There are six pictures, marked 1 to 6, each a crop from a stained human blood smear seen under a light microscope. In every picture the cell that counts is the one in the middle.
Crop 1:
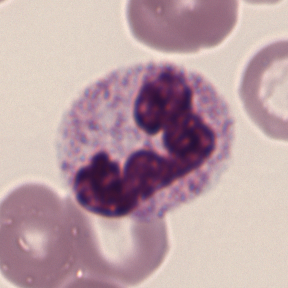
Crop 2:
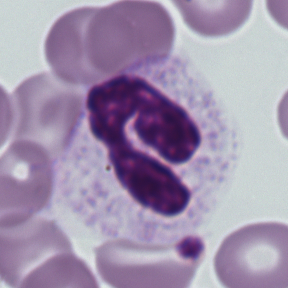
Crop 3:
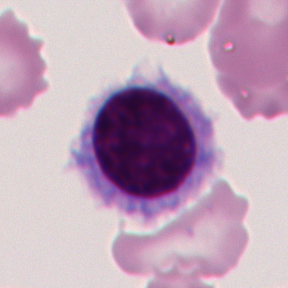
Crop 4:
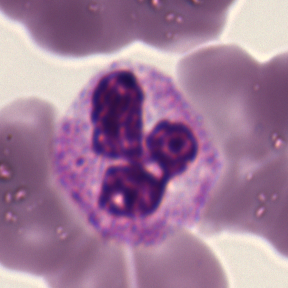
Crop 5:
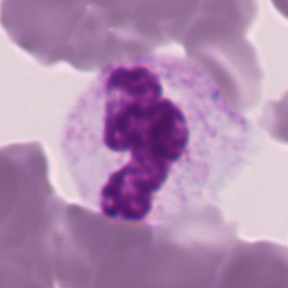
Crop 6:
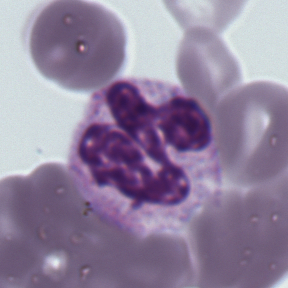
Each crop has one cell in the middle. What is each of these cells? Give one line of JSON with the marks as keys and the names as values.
{"1": "segmented neutrophil", "2": "segmented neutrophil", "3": "hairy cell", "4": "segmented neutrophil", "5": "segmented neutrophil", "6": "segmented neutrophil"}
